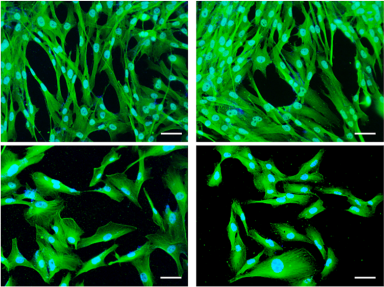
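In the upper two fields the cells are densely packed, slender and spindle-shaped, lying roughly parallel in streams with long tapering processes. In the lower two fields the cells are fewer and more widely spaced, and many are broader and flattened with spread, irregular outlines, leaving large dark gaps between them. Some nuclei in the lower fields appear larger than those in the upper fields.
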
